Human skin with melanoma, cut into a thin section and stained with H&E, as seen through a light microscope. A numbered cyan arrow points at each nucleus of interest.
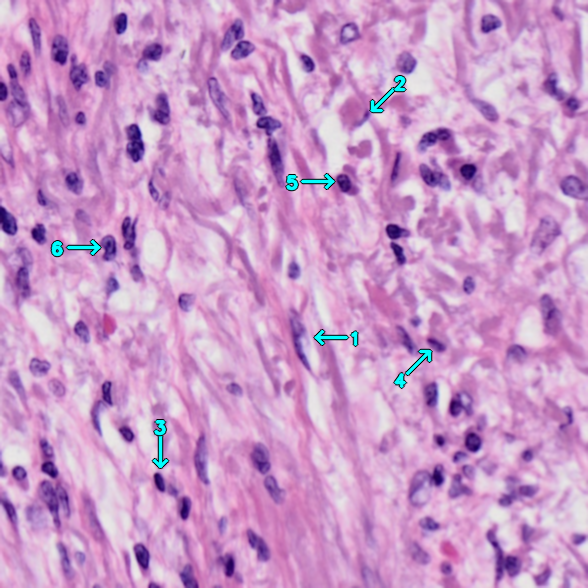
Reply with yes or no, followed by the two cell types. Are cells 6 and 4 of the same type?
No, here cell 6 is a lymphocyte, whereas cell 4 is a macrophage or monocyte.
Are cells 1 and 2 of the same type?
Yes, cell 1 and cell 2 are both fibroblasts or myofibroblasts.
